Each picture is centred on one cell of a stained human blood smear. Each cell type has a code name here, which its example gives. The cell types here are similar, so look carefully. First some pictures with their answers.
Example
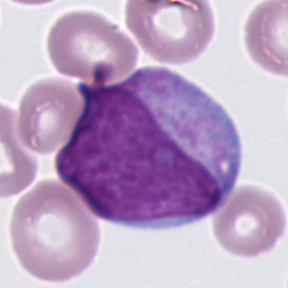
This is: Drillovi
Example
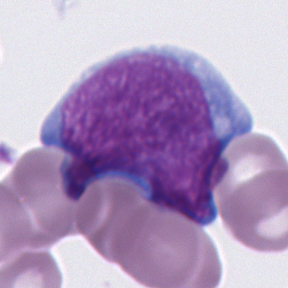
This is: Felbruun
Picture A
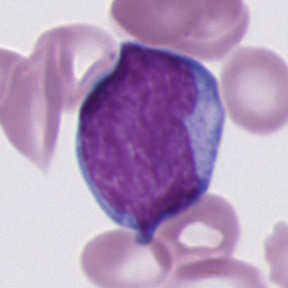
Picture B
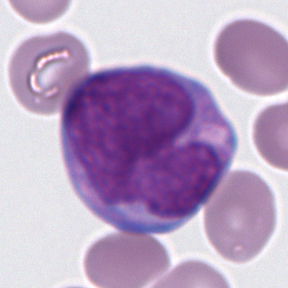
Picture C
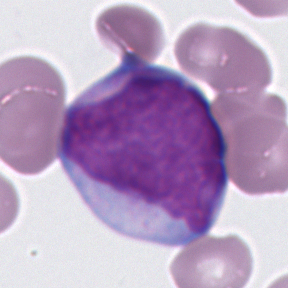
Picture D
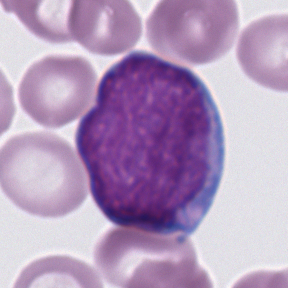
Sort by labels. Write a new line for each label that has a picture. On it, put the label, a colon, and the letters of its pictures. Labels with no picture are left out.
Drillovi: B, C
Felbruun: A, D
